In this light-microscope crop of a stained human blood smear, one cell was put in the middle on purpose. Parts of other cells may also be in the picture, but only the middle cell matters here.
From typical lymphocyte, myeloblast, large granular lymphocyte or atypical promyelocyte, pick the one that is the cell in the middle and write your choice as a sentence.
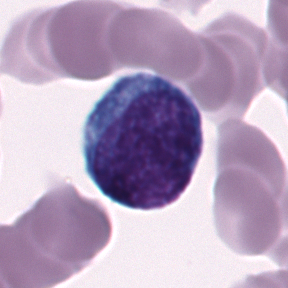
The cell in the exact centre of the crop is a typical lymphocyte.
